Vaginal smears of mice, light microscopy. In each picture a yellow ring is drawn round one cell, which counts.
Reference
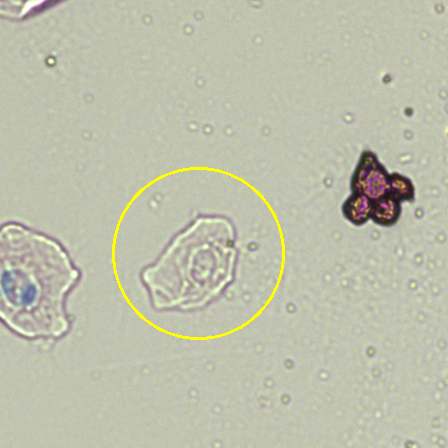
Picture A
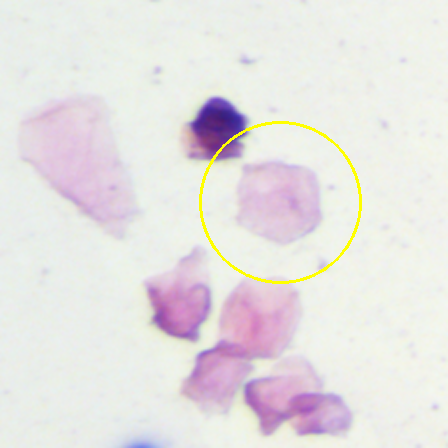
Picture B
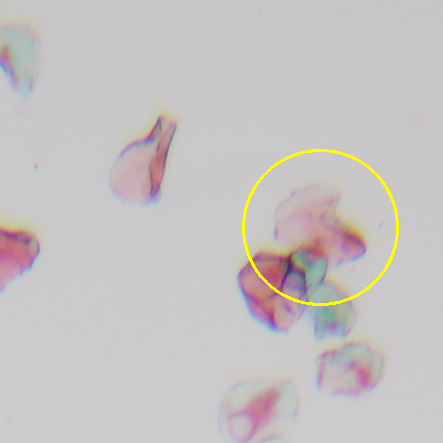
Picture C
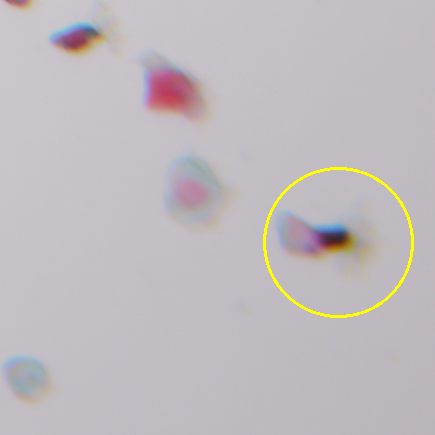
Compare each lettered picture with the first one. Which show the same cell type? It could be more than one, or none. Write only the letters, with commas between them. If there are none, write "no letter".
no letter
